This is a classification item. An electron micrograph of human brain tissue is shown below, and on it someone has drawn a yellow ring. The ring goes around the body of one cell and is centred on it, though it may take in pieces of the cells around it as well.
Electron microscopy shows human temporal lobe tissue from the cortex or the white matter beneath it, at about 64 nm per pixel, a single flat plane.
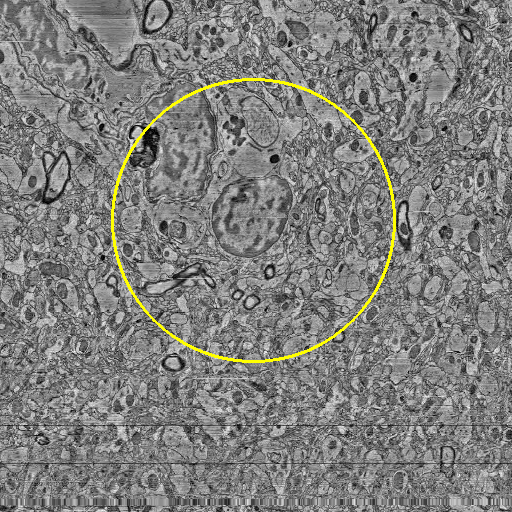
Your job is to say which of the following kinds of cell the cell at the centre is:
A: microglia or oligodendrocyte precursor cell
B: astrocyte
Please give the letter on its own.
A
